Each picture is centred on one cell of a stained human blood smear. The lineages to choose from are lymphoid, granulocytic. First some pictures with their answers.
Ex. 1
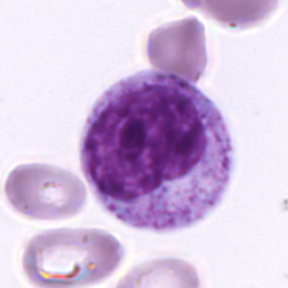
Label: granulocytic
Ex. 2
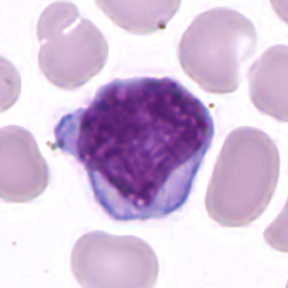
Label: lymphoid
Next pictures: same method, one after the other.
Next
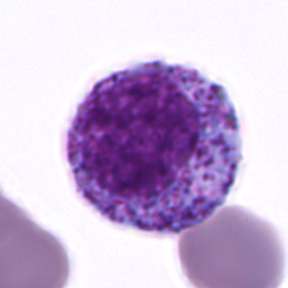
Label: granulocytic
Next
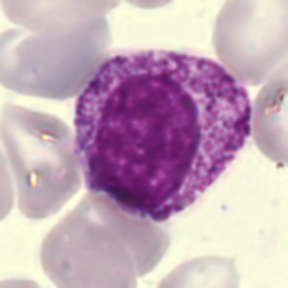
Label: granulocytic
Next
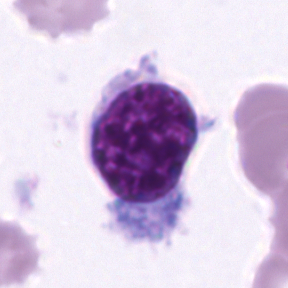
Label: lymphoid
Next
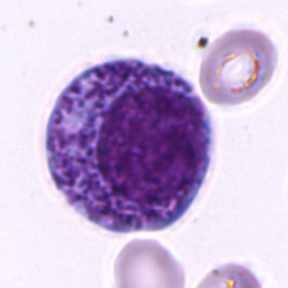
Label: granulocytic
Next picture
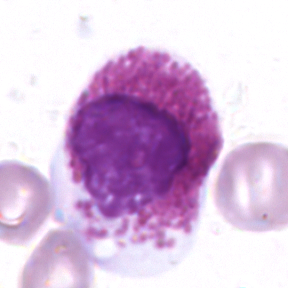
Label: granulocytic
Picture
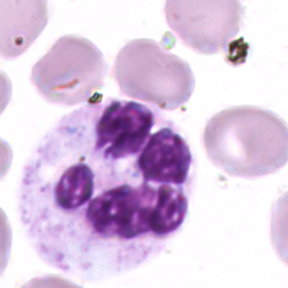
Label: granulocytic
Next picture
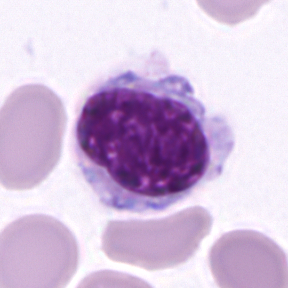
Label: lymphoid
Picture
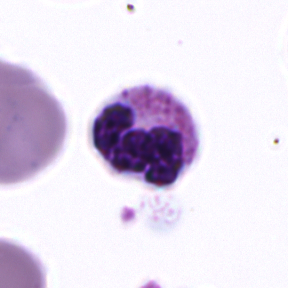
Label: granulocytic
